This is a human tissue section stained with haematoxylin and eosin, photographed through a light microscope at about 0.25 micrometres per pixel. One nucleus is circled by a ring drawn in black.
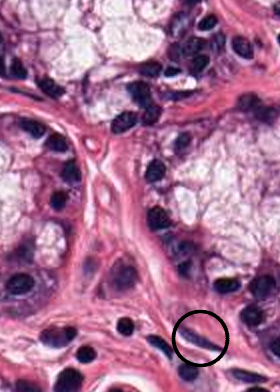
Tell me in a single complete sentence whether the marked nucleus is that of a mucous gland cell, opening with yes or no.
No, a mucous gland cell does not own the marked nucleus, which belongs to a supporting cell.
